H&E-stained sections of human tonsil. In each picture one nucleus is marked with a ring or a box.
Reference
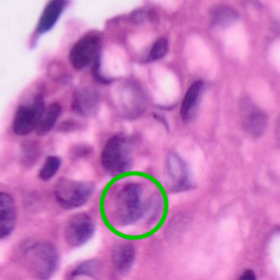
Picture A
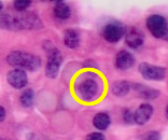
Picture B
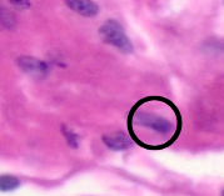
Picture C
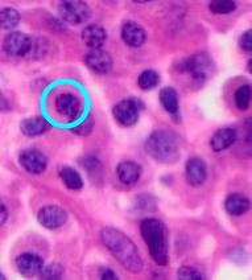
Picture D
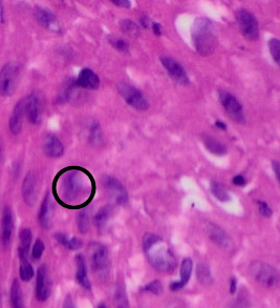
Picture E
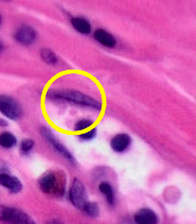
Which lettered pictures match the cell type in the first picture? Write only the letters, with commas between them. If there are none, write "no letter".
D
